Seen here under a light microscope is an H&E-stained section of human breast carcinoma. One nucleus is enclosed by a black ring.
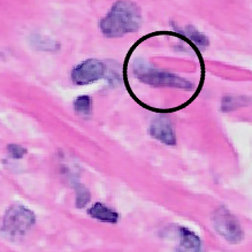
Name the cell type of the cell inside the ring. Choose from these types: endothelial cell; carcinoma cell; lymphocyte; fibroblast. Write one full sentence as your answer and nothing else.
In this field of tissue, the cell inside the ring is an endothelial cell.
